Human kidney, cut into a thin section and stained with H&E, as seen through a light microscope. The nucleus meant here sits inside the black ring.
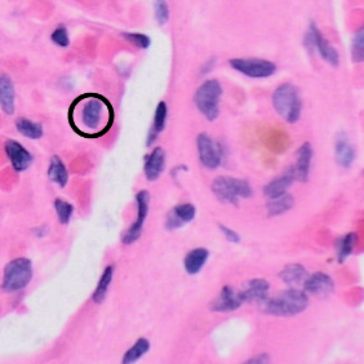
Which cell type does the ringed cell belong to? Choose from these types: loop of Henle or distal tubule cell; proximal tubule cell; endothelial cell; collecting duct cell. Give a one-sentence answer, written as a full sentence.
As for its identity, the ringed cell is an endothelial cell.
